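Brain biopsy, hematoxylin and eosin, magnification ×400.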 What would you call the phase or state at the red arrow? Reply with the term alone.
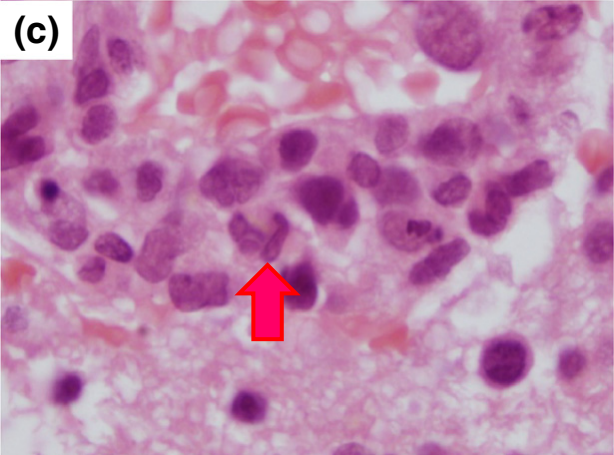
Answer: mitotic changes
